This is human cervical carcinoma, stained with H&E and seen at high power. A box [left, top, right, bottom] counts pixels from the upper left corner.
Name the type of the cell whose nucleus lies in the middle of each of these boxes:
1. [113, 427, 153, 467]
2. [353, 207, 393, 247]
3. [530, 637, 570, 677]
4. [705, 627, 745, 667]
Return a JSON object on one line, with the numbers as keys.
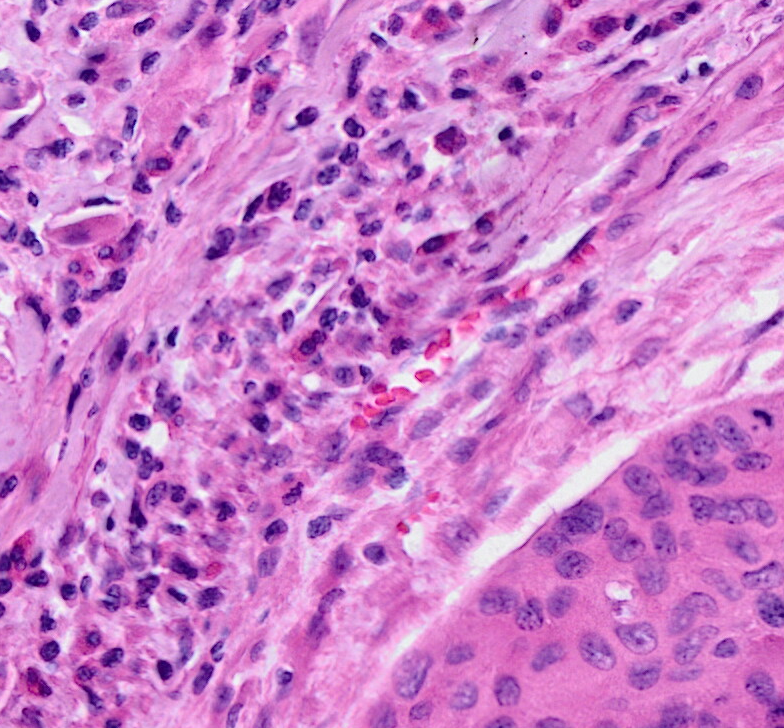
{"1": "lymphocyte", "2": "lymphocyte", "3": "squamous carcinoma cell", "4": "squamous carcinoma cell"}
